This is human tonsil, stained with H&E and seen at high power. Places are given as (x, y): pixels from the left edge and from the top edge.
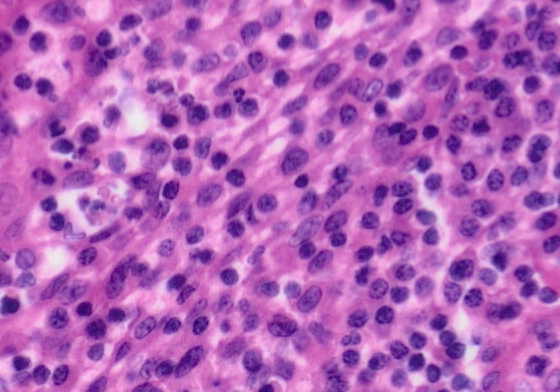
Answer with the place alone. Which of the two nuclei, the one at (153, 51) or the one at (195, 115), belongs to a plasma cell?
(195, 115)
